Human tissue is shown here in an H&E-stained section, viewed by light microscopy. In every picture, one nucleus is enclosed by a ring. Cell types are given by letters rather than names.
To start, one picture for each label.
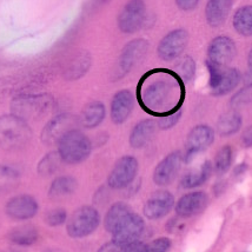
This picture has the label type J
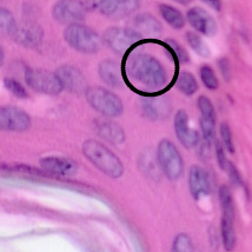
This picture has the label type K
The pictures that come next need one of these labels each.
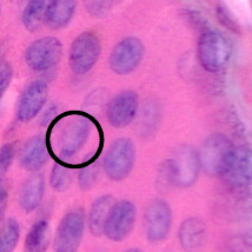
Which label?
type J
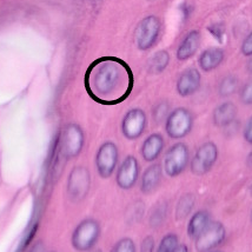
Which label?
type J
